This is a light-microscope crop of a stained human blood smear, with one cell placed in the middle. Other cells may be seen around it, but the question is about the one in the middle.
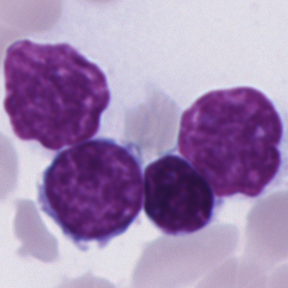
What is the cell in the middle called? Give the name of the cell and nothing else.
myeloblast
